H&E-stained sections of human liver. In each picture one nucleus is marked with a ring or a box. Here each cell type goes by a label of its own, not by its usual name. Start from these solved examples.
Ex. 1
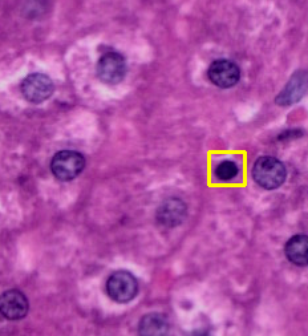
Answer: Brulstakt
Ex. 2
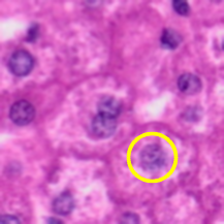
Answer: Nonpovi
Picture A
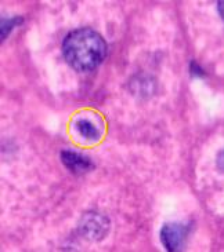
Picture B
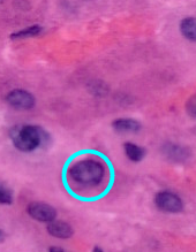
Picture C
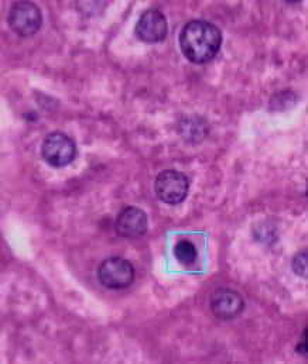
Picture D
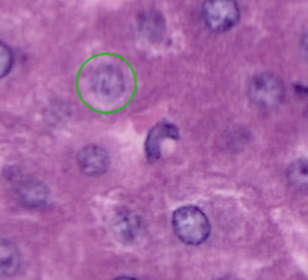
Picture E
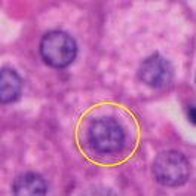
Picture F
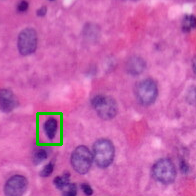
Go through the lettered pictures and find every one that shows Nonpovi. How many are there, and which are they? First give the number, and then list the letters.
3, namely B, D, E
